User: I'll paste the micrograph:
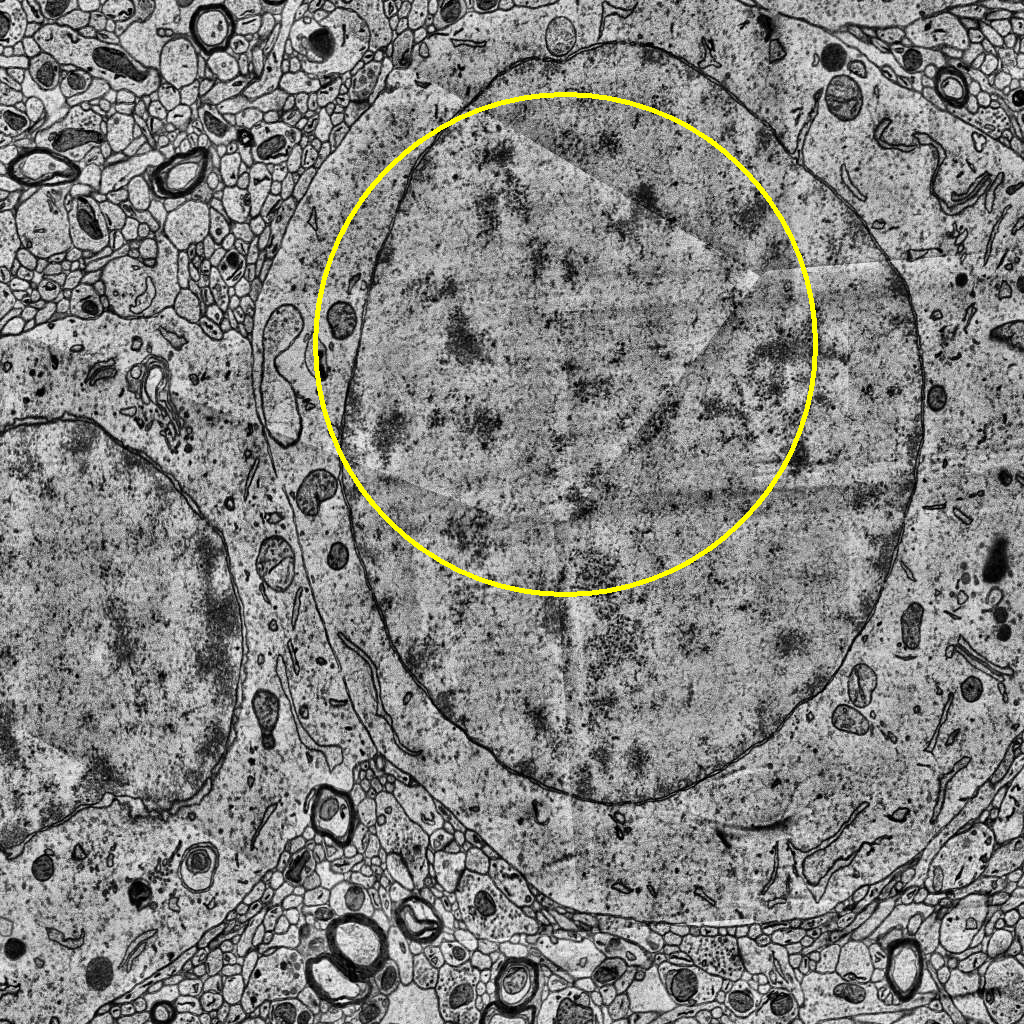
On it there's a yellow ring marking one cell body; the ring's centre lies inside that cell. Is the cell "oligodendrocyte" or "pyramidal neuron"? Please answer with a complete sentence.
The cell at the centre of the yellow ring is a pyramidal neuron.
